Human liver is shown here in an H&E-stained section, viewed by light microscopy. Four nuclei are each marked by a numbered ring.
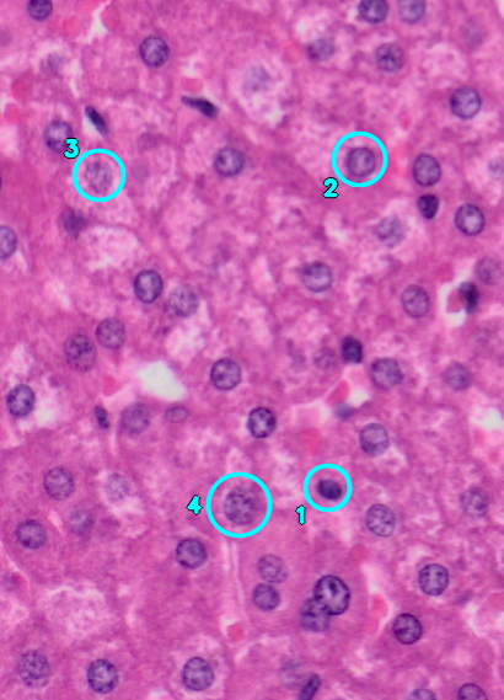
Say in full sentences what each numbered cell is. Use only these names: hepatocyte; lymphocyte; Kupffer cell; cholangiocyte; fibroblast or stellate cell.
Cell 1 is a fibroblast or stellate cell. Cells 2, 3 and 4 are hepatocytes.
